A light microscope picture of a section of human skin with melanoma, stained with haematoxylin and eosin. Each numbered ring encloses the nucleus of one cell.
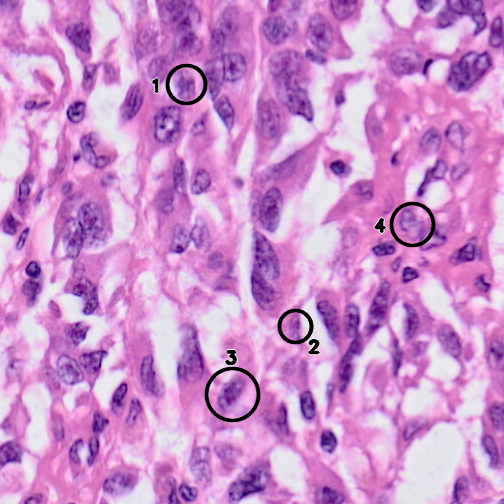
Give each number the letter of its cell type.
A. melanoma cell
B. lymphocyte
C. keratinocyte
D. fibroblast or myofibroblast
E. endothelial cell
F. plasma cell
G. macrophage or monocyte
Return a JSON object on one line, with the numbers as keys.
{"1": "A", "2": "A", "3": "A", "4": "E"}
